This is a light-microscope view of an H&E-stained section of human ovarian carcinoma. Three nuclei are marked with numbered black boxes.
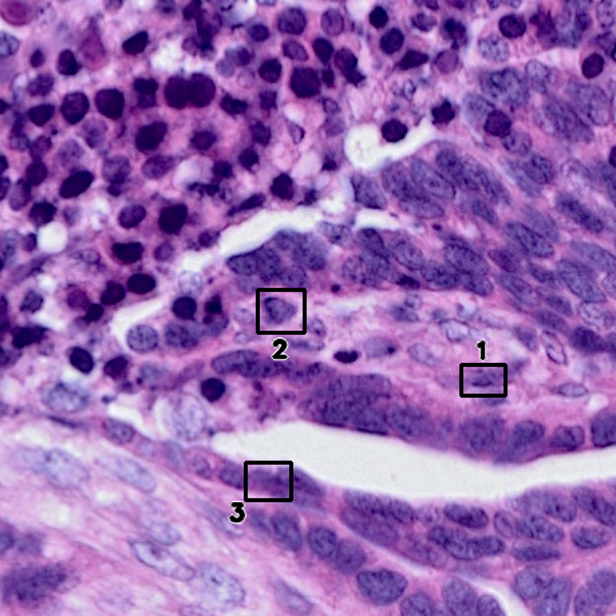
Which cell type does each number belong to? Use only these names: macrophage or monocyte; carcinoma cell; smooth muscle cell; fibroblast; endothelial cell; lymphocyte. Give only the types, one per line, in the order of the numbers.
fibroblast
macrophage or monocyte
carcinoma cell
